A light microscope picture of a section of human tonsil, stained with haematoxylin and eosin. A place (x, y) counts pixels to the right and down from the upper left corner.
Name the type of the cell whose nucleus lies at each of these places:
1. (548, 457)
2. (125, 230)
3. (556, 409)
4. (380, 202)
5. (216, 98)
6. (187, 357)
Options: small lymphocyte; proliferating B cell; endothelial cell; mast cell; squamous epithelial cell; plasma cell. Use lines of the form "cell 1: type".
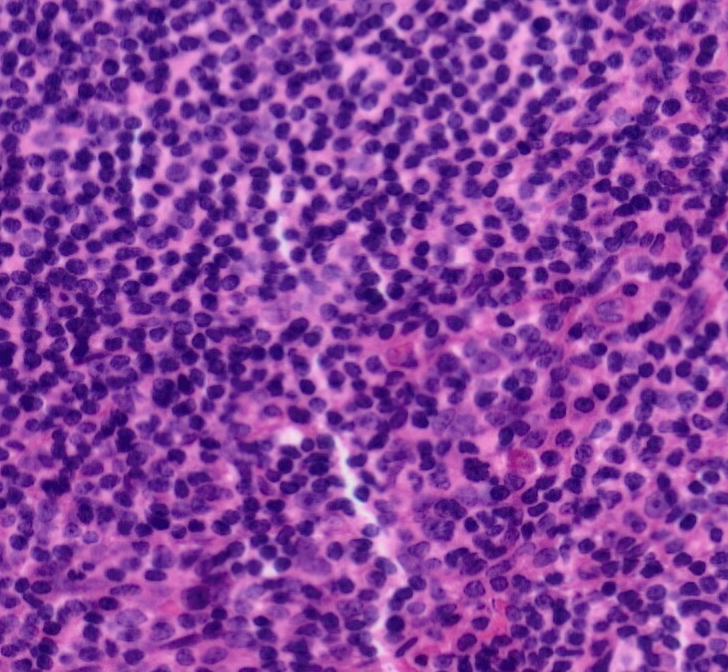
cell 1: plasma cell
cell 2: small lymphocyte
cell 3: plasma cell
cell 4: small lymphocyte
cell 5: small lymphocyte
cell 6: small lymphocyte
